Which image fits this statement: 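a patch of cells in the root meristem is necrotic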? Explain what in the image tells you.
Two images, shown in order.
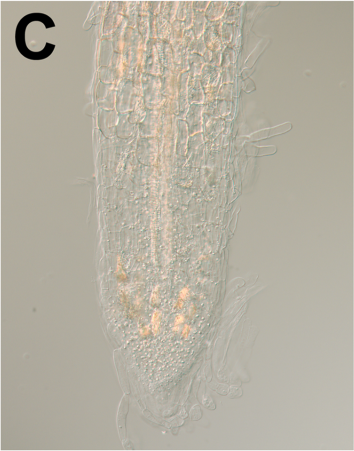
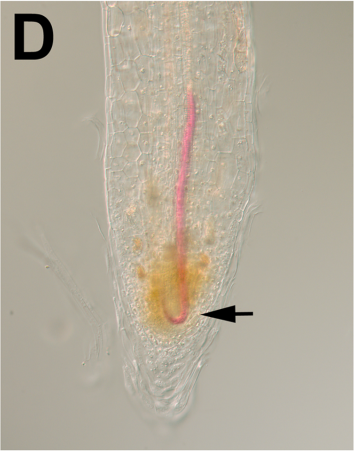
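The second image. Second image: a dense orange-brown patch of cells fills the meristem zone behind the cap. First image: the meristem shows only a few small scattered orange spots between clear cells.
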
